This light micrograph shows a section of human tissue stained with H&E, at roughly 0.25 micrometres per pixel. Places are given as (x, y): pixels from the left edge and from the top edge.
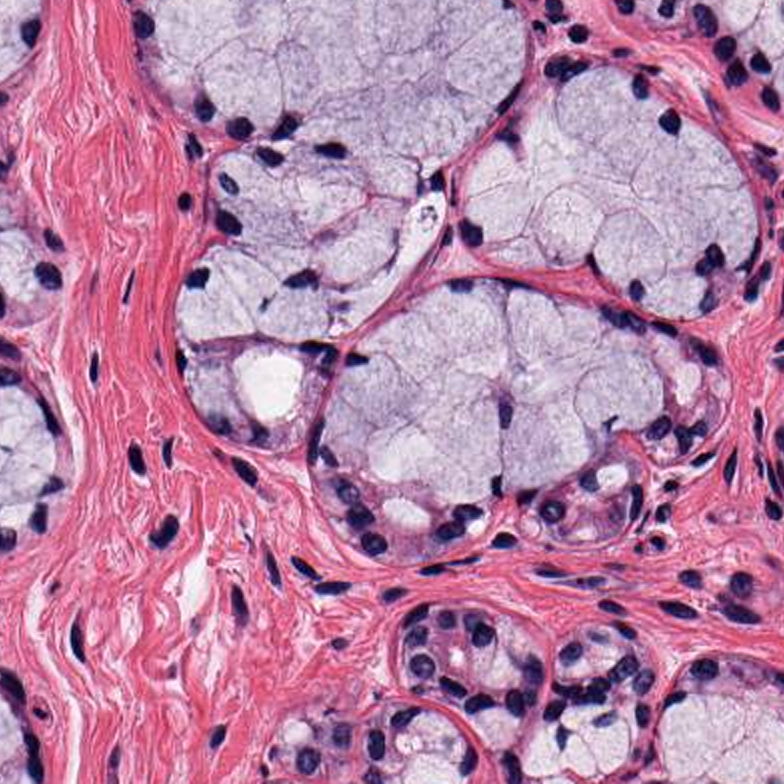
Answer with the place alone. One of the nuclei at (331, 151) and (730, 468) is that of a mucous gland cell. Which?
(331, 151)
